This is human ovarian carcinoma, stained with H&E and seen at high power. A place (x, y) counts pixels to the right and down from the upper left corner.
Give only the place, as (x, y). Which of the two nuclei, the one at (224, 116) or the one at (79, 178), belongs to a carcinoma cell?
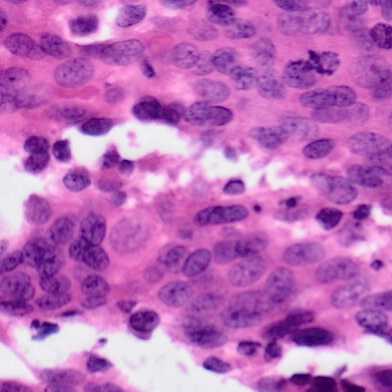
(224, 116)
